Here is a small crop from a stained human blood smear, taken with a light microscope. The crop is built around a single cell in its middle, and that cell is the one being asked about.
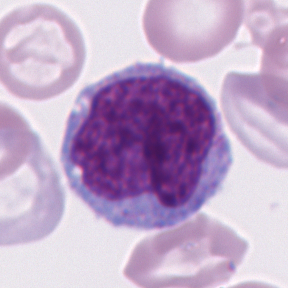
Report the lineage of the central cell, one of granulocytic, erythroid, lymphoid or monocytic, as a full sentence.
The cell right in the center of the crop is part of the monocytic line.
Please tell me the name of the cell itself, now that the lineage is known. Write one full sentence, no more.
The cell under consideration, at the middle of the crop, is a monocyte.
